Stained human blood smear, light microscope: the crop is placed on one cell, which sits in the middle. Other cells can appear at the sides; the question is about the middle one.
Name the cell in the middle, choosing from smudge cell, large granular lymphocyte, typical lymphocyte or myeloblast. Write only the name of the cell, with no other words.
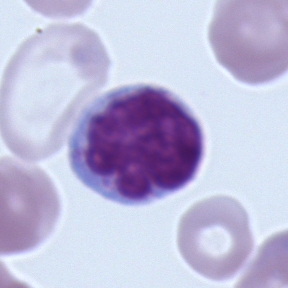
typical lymphocyte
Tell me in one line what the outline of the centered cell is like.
Expected answer: a smooth cell outline without projections of any sort.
